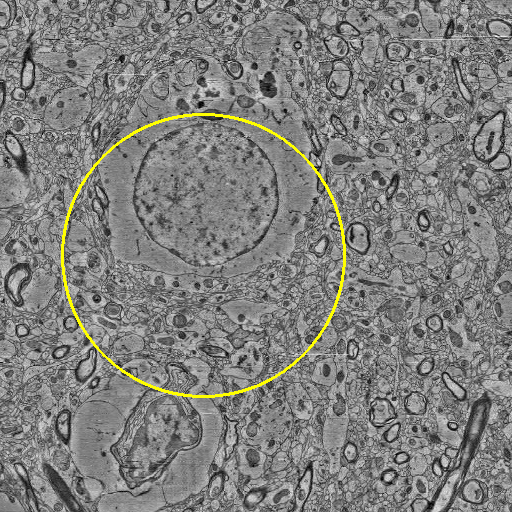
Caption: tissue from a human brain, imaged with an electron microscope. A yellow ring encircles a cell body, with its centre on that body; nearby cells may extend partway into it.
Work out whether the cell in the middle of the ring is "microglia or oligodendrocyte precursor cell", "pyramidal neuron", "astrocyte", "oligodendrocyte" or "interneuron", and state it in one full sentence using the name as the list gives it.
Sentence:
In the picture, the cell that the yellow ring surrounds at its centre is an astrocyte.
